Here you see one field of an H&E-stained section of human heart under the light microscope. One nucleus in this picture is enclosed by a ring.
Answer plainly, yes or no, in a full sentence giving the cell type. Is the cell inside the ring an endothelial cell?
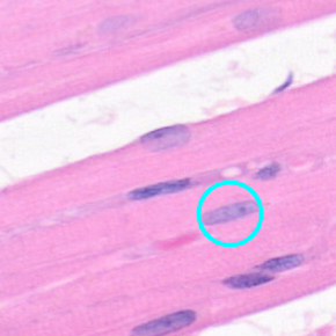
No. Look again: the cell inside the ring is a cardiomyocyte, not an endothelial cell.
